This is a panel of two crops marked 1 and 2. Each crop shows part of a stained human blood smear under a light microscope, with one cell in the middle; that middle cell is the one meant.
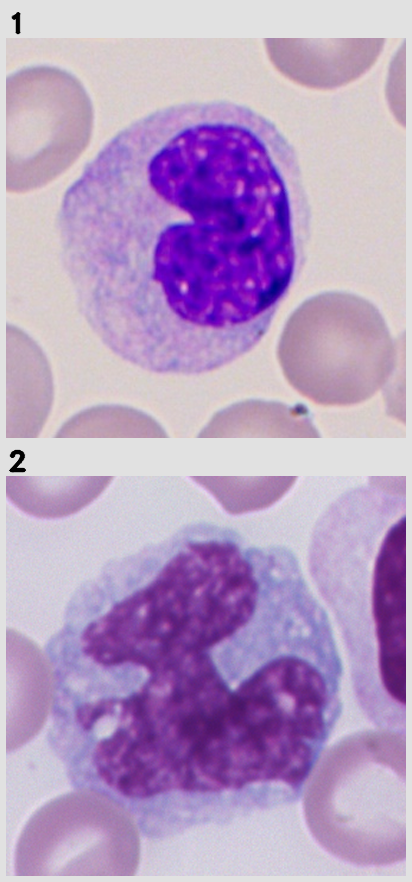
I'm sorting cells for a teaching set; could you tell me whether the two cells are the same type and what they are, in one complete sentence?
Yes, that is right, both crops show monocytes.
